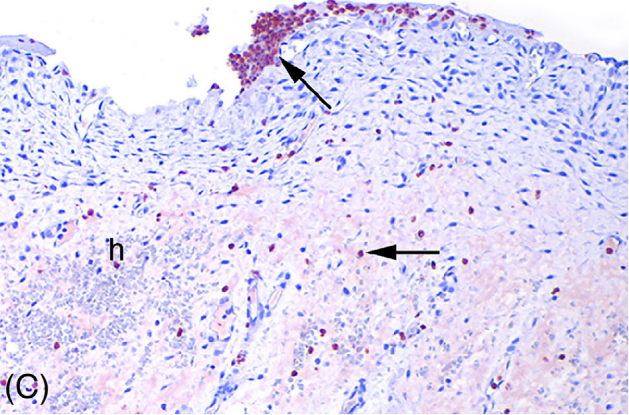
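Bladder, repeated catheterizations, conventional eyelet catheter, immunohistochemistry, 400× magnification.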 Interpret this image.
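The mucosal surface runs along the top, with a dense cluster of small round red-brown cells sitting on it. Below, the stroma holds spindle-shaped cells with elongated blue nuclei and many scattered red-brown round cells. In the lower left an area is filled with many small pale red blood cells lying free in the tissue, a focus of bleeding. The stroma in the lower part looks pale and loose.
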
